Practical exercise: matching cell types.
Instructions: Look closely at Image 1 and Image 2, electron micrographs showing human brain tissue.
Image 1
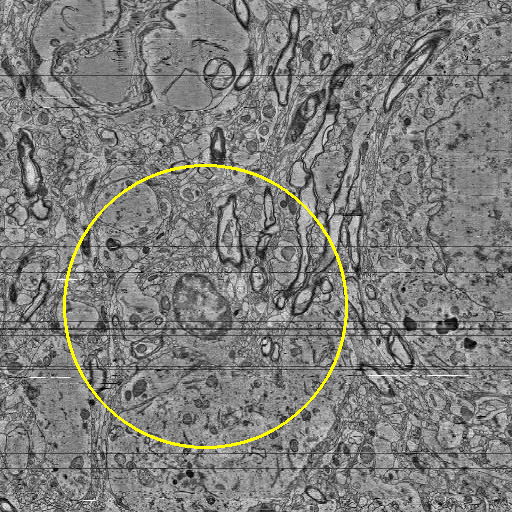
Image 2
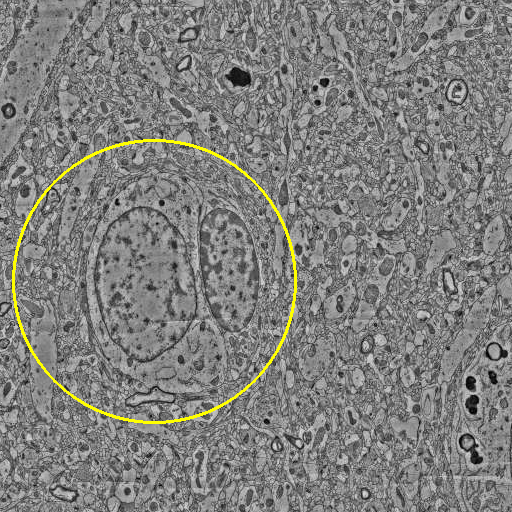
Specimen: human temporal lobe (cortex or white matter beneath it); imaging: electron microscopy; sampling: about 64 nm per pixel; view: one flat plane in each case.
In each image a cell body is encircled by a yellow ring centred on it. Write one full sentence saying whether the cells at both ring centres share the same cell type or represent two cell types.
Across Image 1 and Image 2, the cells at the ring centres represent two cell types.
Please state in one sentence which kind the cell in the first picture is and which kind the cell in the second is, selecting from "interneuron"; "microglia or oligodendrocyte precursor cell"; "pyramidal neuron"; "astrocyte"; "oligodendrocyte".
The first ringed cell is an oligodendrocyte, the second ringed cell a pyramidal neuron.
